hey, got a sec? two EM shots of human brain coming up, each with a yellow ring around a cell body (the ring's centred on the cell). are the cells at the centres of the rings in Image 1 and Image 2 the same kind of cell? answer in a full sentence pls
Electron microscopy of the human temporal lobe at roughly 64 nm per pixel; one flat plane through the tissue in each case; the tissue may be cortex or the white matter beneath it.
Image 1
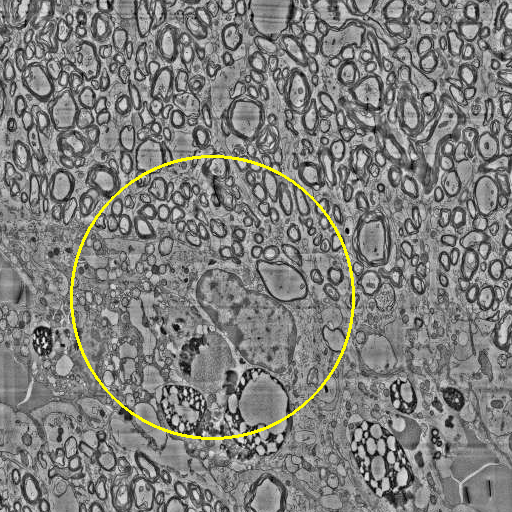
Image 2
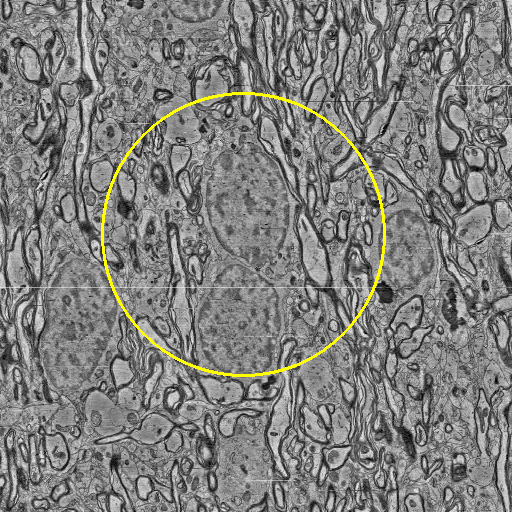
No, they are two kinds of cell.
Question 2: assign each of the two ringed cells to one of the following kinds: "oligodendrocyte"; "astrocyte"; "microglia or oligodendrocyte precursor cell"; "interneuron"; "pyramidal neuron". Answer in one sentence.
The two cells are a microglial cell or oligodendrocyte precursor cell in the first picture and an oligodendrocyte in the second.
